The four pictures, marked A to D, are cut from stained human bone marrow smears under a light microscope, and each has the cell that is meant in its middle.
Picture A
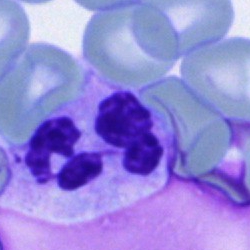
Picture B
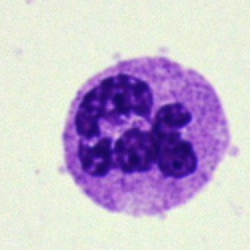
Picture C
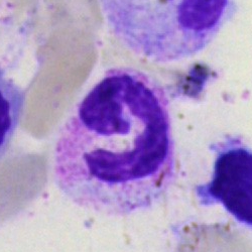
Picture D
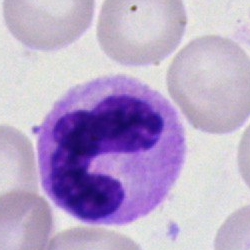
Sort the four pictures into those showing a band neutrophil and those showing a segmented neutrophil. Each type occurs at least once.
A: segmented neutrophil
B: segmented neutrophil
C: segmented neutrophil
D: band neutrophil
